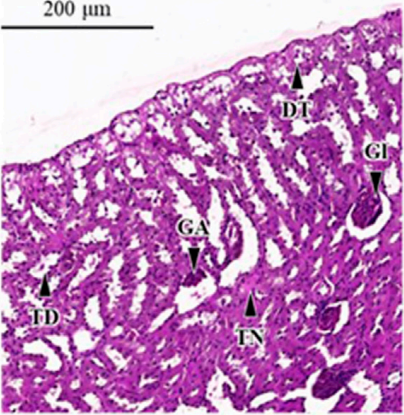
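This is renal cortex in which many tubules have wide, empty lumens lined by thinned pink epithelium, giving the tissue an open, lace-like look. Some glomeruli appear as small, dark, densely stained tufts, and scattered tubular cells look pale and disrupted.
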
